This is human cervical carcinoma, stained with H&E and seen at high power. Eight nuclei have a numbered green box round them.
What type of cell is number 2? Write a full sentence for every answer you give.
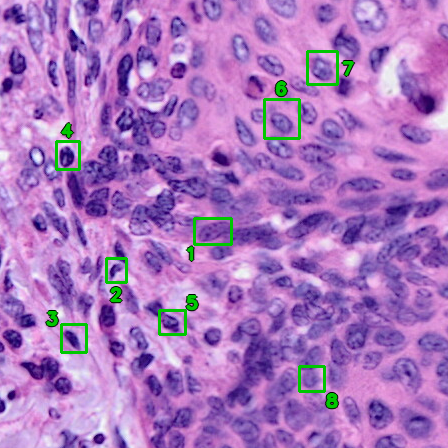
The nucleus with number 2 is that of a lymphocyte.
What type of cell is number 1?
Belonging to a squamous carcinoma cell is the nucleus that carries the number 1.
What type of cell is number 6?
In the marked set, the cell given number 6 is a squamous carcinoma cell.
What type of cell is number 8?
The cell numbered 8 represents a squamous carcinoma cell.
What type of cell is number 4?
The marked cell bearing number 4 is a lymphocyte.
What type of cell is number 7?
Cell 7 in the field of view is a squamous carcinoma cell.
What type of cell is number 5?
Within this field of view, the cell labelled 5 is a lymphocyte.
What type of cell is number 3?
Cell 3 should be recorded as a lymphocyte.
